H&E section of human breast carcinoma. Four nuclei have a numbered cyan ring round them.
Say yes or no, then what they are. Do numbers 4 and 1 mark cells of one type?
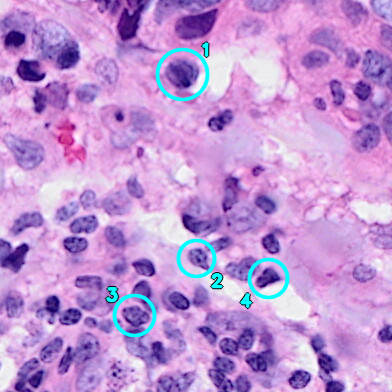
No, listen: cell 4 is a lymphocyte and cell 1 is a carcinoma cell.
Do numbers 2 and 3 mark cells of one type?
Yes, cells 2 and 3 are both identified as lymphocytes.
